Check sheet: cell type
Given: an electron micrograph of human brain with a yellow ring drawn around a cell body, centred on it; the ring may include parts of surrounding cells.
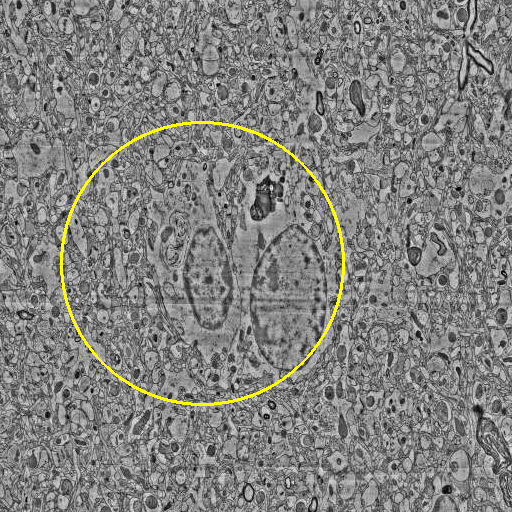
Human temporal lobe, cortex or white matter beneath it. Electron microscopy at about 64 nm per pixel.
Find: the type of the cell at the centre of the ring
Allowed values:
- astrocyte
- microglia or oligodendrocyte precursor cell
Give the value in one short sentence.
Here the ringed cell is an astrocyte.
